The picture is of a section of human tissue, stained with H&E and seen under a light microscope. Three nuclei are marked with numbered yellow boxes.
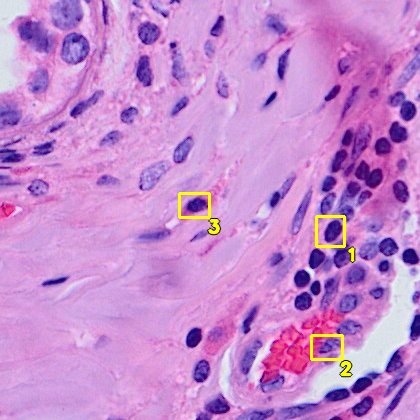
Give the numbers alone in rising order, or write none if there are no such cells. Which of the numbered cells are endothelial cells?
2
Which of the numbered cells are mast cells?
3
